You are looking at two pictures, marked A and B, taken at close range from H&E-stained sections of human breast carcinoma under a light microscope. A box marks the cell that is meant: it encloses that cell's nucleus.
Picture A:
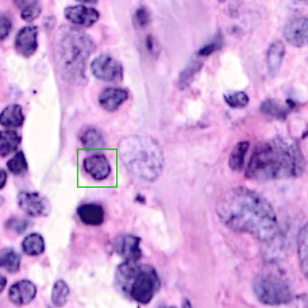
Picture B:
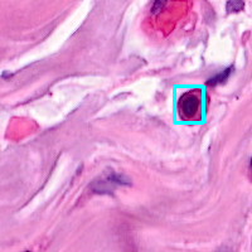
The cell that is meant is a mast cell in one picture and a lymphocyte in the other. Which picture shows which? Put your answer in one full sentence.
The cell in picture A is a lymphocyte, and the one in picture B is a mast cell.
